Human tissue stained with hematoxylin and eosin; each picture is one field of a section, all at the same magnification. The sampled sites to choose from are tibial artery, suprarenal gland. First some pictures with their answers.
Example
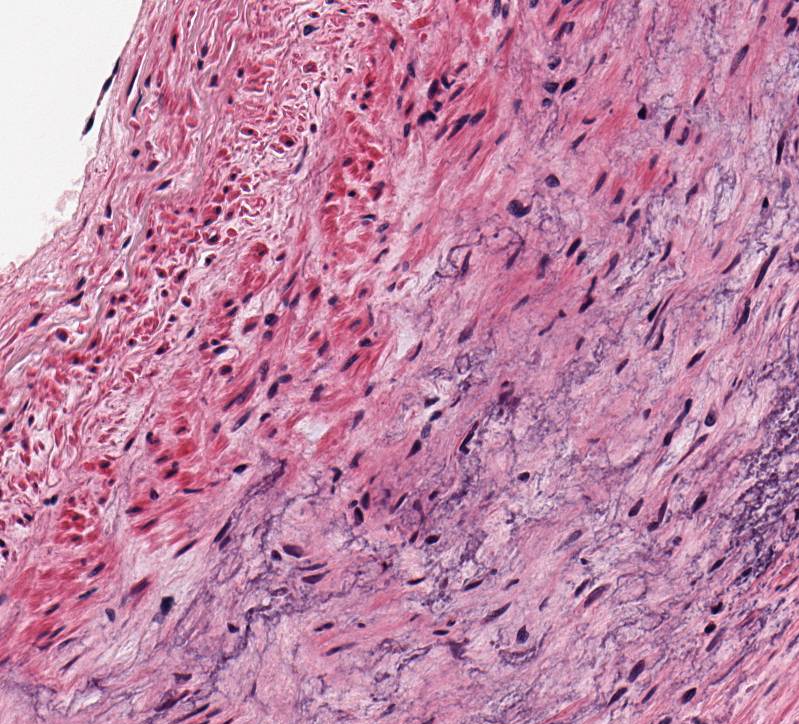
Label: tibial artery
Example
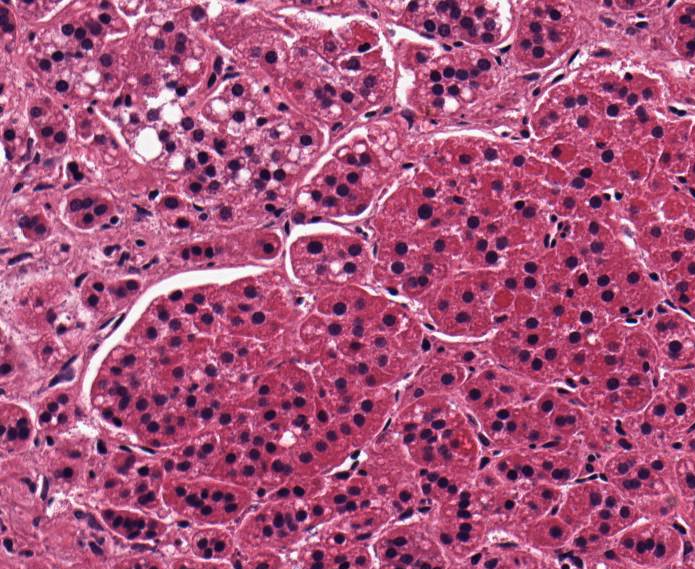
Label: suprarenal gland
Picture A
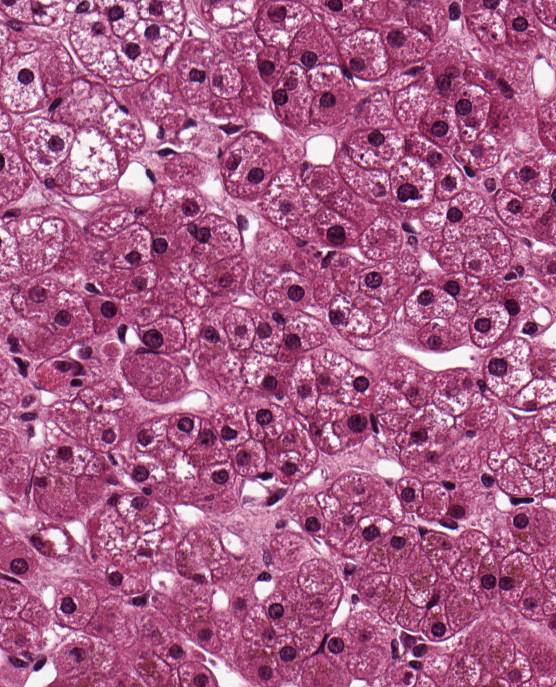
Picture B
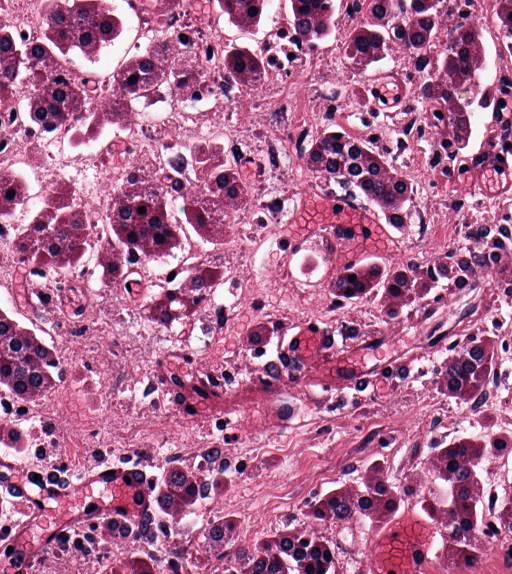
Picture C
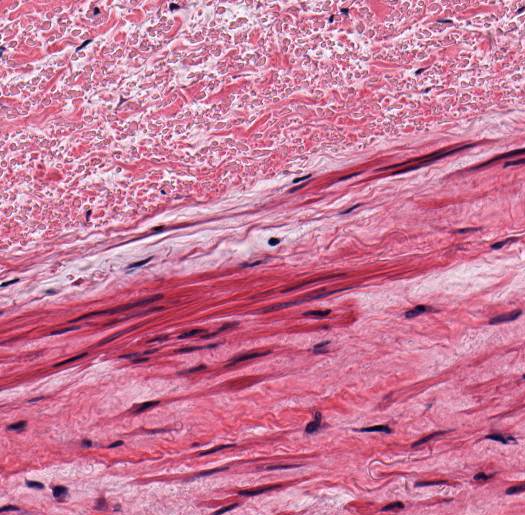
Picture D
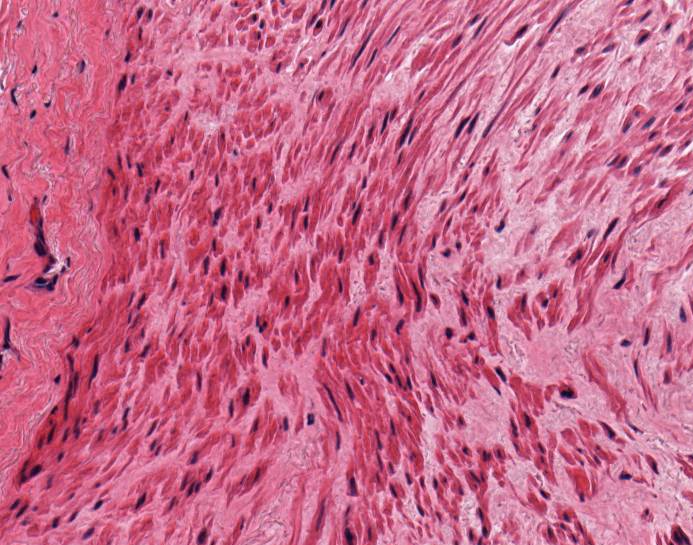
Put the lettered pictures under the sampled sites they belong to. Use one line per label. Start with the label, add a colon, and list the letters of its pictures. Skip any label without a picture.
tibial artery: C, D
suprarenal gland: A, B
